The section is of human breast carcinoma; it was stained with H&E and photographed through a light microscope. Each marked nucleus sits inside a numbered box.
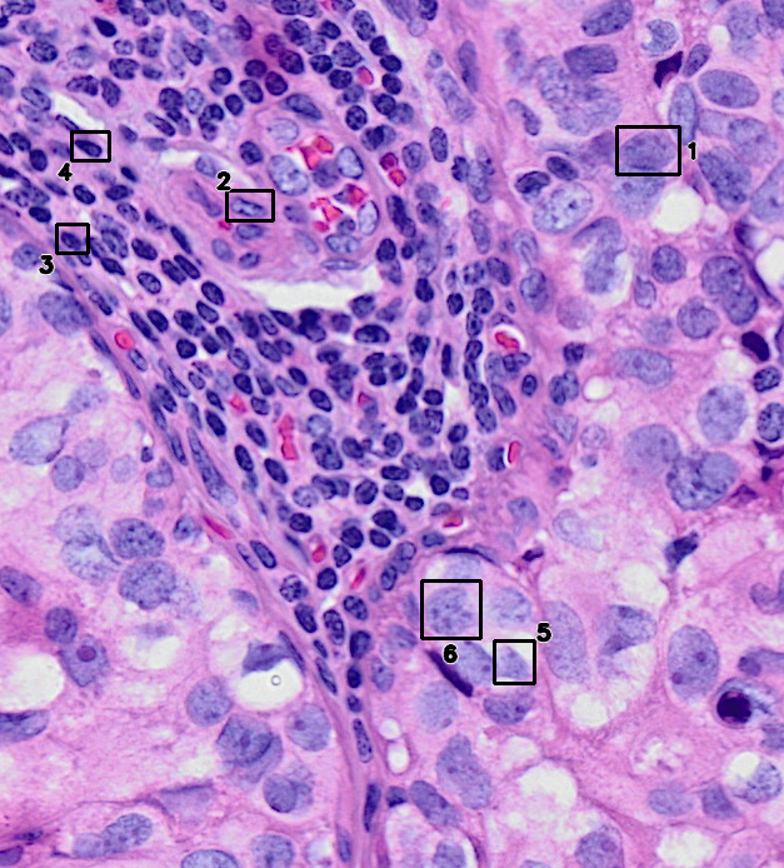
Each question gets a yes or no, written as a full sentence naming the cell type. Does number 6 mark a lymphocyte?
No, cell 6 isn't a lymphocyte; it's a carcinoma cell.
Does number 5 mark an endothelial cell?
No, the cell under number 5 is a carcinoma cell instead of an endothelial cell.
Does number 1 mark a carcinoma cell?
Yes, as for number 1, the cell is a carcinoma cell.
